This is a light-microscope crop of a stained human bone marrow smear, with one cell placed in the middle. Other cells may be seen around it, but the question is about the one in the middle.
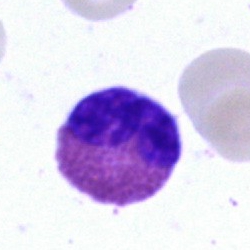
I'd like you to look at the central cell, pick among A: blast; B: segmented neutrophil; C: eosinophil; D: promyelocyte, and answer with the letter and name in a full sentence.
Option C is the keyed answer: the cell in the middle is an eosinophil.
